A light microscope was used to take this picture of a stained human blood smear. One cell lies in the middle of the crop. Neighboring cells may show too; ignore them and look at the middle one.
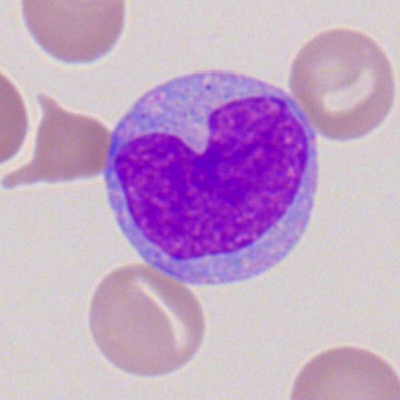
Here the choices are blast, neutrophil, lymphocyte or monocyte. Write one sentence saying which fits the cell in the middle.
Standing at the centre of this crop is a monocyte.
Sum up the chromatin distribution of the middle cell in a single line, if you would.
Coarse clumps are absent, and the chromatin is fine throughout.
